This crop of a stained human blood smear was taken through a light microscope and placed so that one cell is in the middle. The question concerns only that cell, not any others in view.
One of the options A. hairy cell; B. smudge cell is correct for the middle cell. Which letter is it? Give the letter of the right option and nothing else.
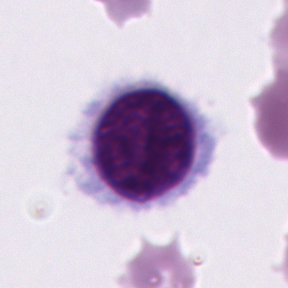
A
